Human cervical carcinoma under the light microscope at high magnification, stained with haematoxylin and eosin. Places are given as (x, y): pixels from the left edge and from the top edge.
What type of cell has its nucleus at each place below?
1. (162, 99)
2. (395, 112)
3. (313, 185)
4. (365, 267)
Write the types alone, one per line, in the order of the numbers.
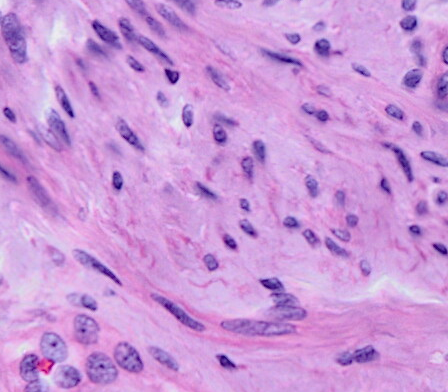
fibroblast
smooth muscle cell
smooth muscle cell
smooth muscle cell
